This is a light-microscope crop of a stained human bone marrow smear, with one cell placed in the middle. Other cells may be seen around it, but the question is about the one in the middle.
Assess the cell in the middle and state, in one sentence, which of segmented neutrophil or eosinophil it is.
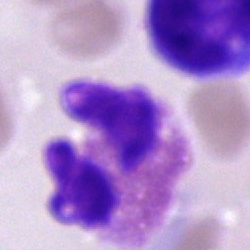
The centered cell in this crop is an eosinophil.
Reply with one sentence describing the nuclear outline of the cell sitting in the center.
This cell has a nucleus made up of two or more segments.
